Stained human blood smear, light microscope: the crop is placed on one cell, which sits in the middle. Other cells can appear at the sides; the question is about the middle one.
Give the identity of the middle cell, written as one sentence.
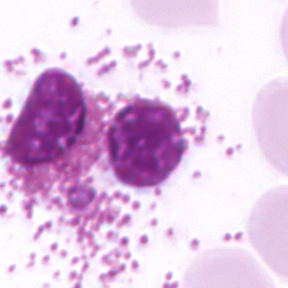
The cell of interest, located centrally, is an eosinophil.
